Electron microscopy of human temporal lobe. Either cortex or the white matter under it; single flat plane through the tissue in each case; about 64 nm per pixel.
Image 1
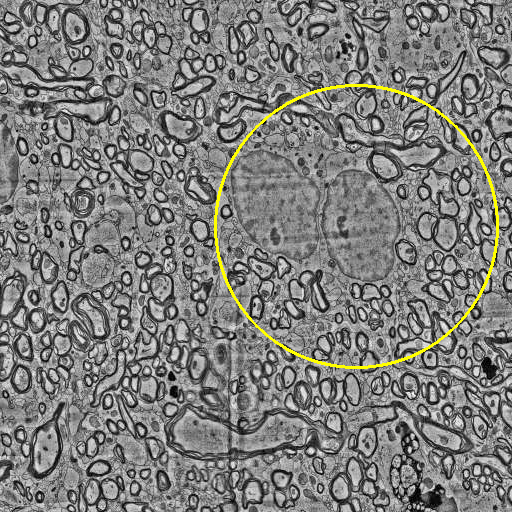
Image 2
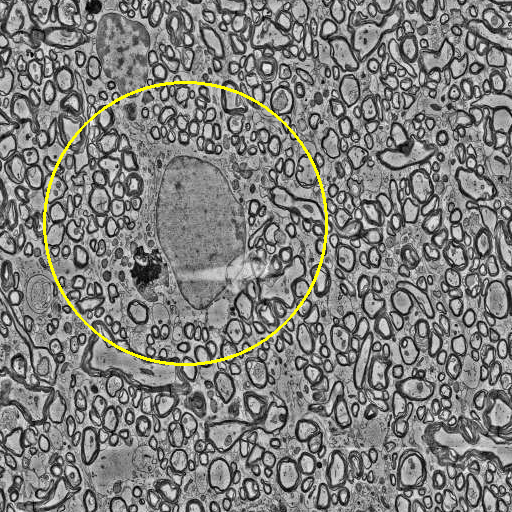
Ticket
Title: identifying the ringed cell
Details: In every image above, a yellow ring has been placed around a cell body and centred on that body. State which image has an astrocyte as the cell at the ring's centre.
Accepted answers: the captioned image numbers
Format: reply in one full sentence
The ring in image 2 is centred on the cell in question.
